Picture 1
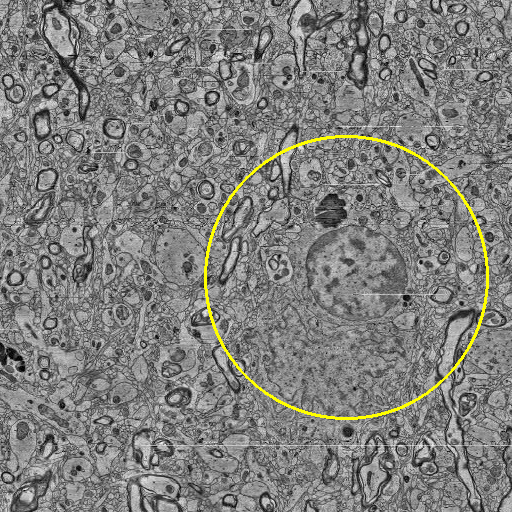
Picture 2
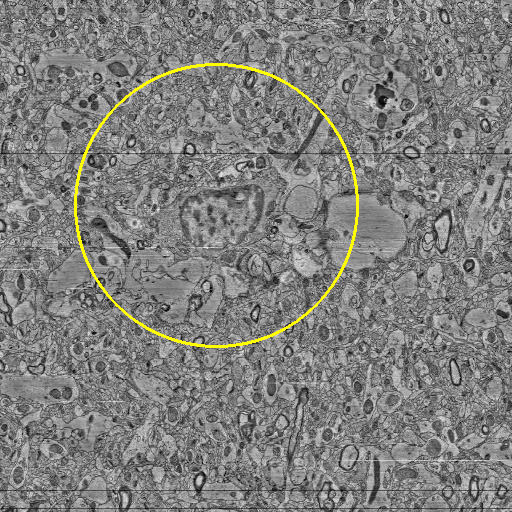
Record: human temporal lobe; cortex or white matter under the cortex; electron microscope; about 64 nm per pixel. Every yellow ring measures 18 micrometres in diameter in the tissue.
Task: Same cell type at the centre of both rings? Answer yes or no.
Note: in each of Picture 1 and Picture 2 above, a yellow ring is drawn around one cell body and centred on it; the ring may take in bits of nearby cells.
yes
